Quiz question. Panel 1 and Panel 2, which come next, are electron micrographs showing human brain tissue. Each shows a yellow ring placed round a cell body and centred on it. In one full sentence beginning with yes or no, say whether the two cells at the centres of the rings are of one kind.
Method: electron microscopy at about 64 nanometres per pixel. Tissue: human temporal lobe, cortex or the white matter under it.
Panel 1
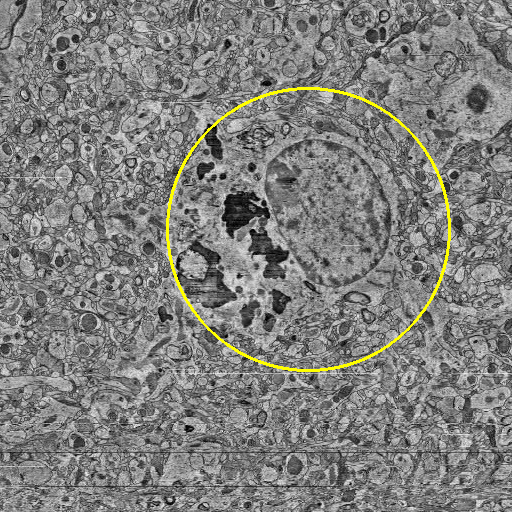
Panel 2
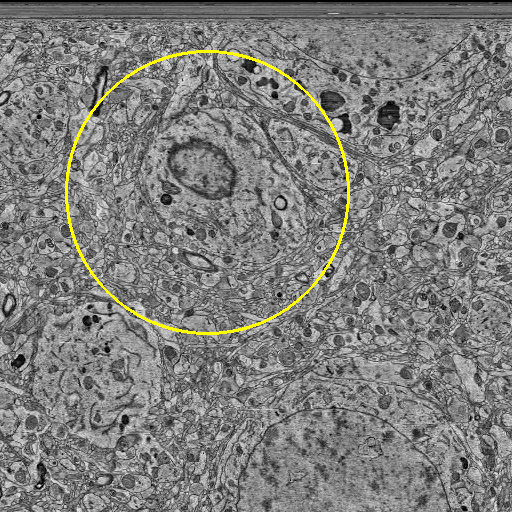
No, Panel 1 and Panel 2 show two kinds of cell at the centre of the ring.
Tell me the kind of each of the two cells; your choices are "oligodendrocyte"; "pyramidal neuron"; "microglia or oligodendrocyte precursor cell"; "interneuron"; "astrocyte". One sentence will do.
The ringed cell is an astrocyte in the first picture and a pyramidal neuron in the second picture.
